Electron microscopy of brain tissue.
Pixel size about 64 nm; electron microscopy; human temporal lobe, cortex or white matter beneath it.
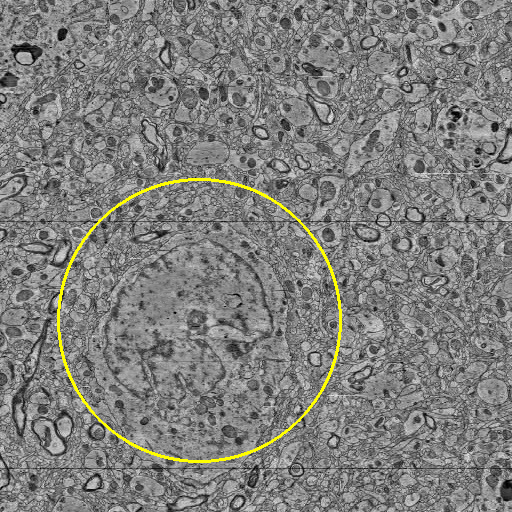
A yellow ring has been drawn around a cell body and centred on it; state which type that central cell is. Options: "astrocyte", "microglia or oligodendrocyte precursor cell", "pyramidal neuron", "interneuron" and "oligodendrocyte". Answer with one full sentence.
The cell at the middle of the yellow ring is an interneuron in this picture.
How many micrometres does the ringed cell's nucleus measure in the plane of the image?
The nucleus comes to roughly 11 micrometres across in this plane.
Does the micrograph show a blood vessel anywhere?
No, a blood vessel is absent from this picture.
